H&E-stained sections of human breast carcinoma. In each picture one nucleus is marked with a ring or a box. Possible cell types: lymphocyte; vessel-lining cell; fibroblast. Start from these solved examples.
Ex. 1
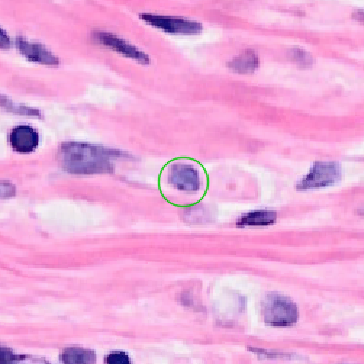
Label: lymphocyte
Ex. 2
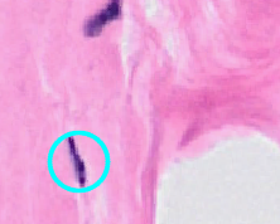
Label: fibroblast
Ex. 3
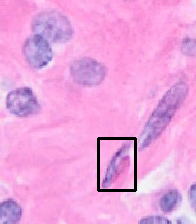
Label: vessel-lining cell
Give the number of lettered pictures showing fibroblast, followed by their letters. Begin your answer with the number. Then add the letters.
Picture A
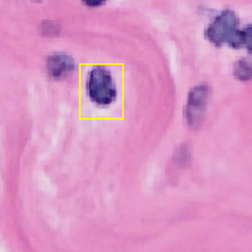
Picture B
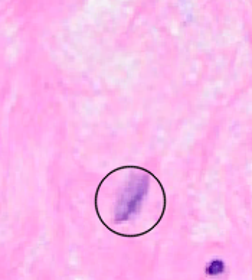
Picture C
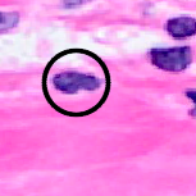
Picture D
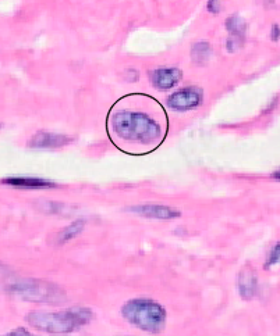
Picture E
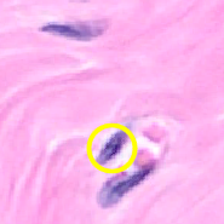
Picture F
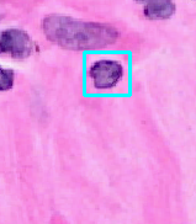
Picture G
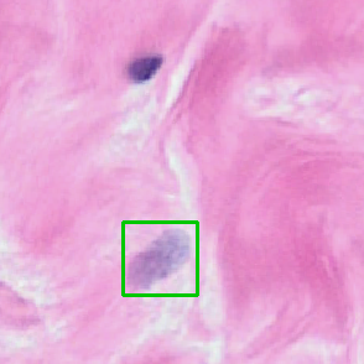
2: B, G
